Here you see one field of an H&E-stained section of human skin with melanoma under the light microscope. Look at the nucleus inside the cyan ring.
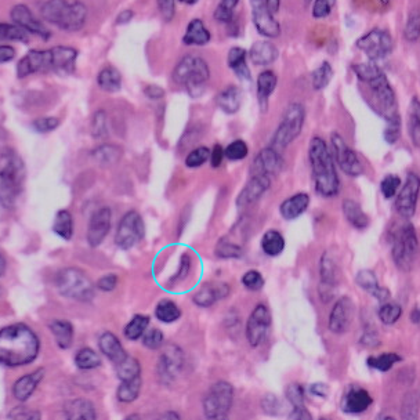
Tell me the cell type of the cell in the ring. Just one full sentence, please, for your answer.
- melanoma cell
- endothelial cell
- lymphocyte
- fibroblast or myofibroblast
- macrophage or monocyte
It is an endothelial cell that the cell in the ring represents.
